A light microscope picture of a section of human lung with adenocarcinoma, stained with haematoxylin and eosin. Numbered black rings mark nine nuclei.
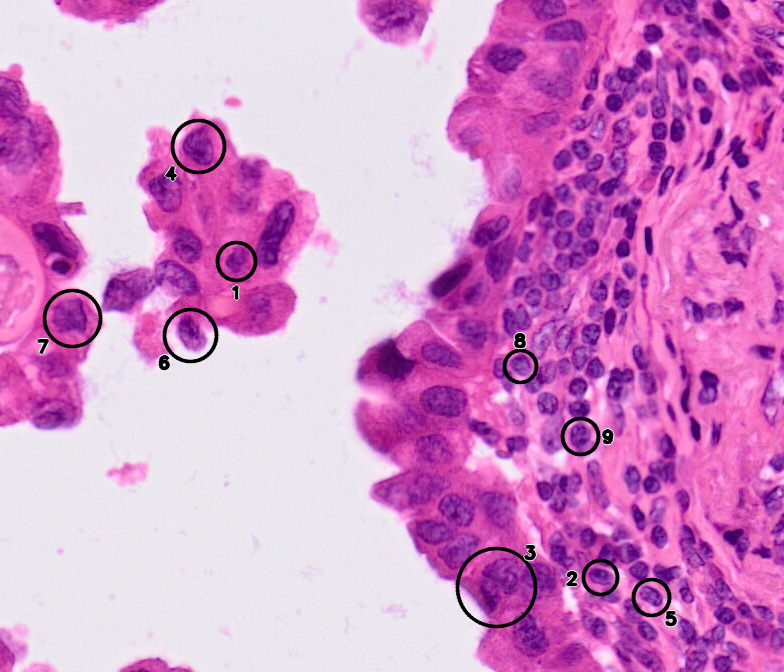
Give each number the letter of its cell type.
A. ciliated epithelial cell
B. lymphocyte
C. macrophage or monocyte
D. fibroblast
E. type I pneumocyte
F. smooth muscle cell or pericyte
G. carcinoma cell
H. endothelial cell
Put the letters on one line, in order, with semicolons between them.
G; B; G; G; B; G; G; B; B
